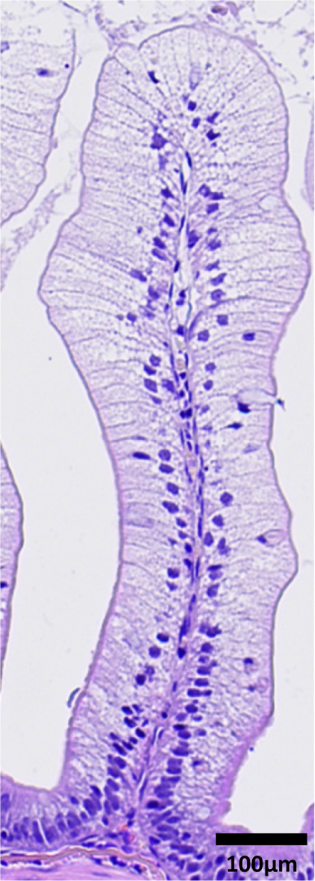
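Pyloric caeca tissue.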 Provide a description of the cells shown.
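This is a mucosal fold of the gut lined by tall columnar epithelial cells whose cytoplasm has become pale and foamy. Each cell is filled with fine clear vacuoles, so the cytoplasm stains only faintly lilac, unlike the dense pink-purple of an unaffected fold. The dark purple nuclei sit low in the cells, grouped along the thin central core of connective tissue. Faint cell borders can be followed running from the core to the surface. The fold looks broad and swollen, with a thin, smooth border at its free surface.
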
